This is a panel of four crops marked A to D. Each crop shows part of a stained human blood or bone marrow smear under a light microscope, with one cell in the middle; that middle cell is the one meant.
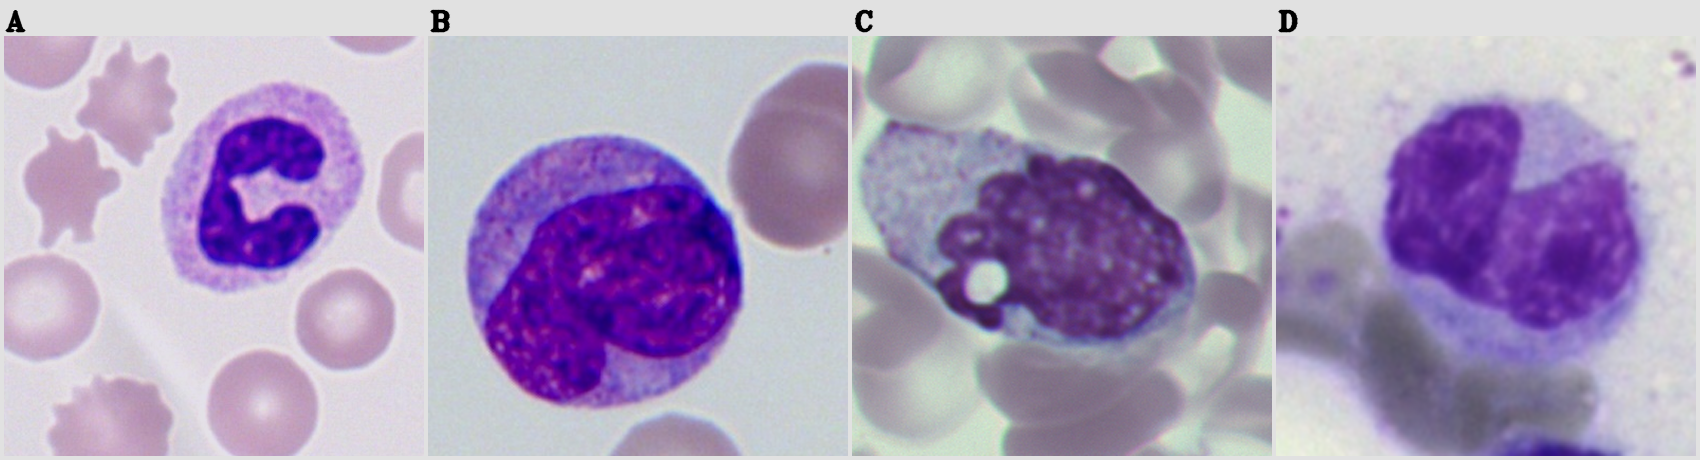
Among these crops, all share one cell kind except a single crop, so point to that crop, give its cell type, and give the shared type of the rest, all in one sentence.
Crop A presents a neutrophil, while monocytes are presented by all other crops.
